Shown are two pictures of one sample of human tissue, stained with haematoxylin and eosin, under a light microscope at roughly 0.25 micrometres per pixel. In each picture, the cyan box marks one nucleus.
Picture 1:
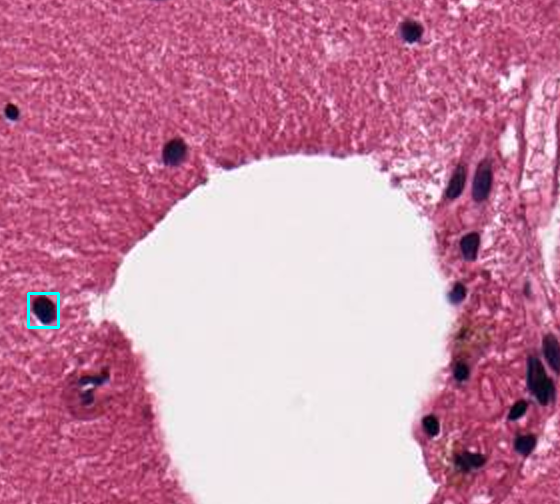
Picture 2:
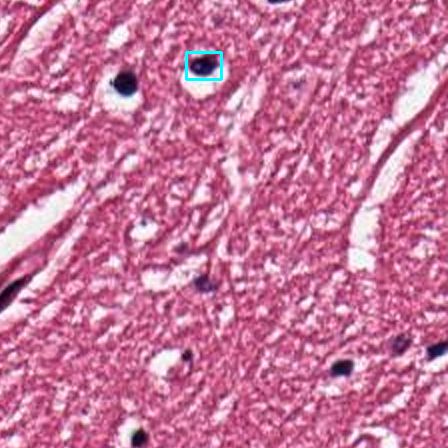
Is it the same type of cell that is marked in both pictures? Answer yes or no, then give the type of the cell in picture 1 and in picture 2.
Yes, both are oligodendrocytes.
